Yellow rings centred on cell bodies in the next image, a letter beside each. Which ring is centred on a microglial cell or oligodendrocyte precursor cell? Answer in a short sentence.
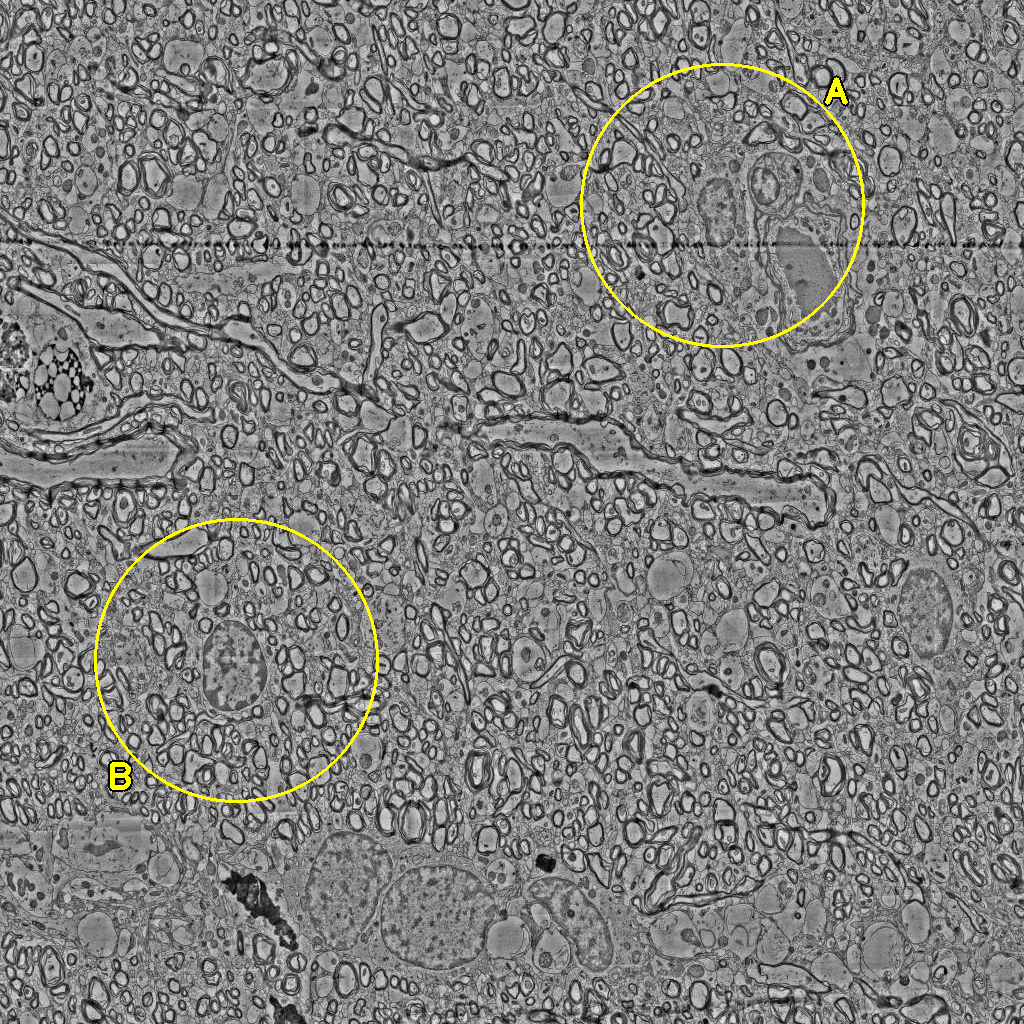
Ring B is centred on it.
